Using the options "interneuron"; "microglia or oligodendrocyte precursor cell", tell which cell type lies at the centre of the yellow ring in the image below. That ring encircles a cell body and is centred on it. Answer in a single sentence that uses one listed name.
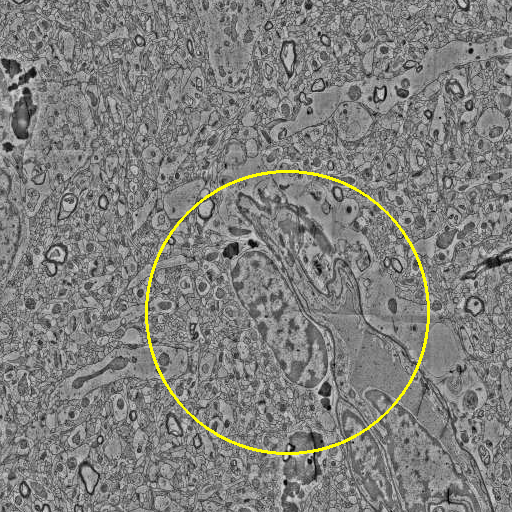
At the centre of the yellow ring lies the body of a microglial cell or oligodendrocyte precursor cell.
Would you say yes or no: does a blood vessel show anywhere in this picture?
Yes, the image shows a blood vessel.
